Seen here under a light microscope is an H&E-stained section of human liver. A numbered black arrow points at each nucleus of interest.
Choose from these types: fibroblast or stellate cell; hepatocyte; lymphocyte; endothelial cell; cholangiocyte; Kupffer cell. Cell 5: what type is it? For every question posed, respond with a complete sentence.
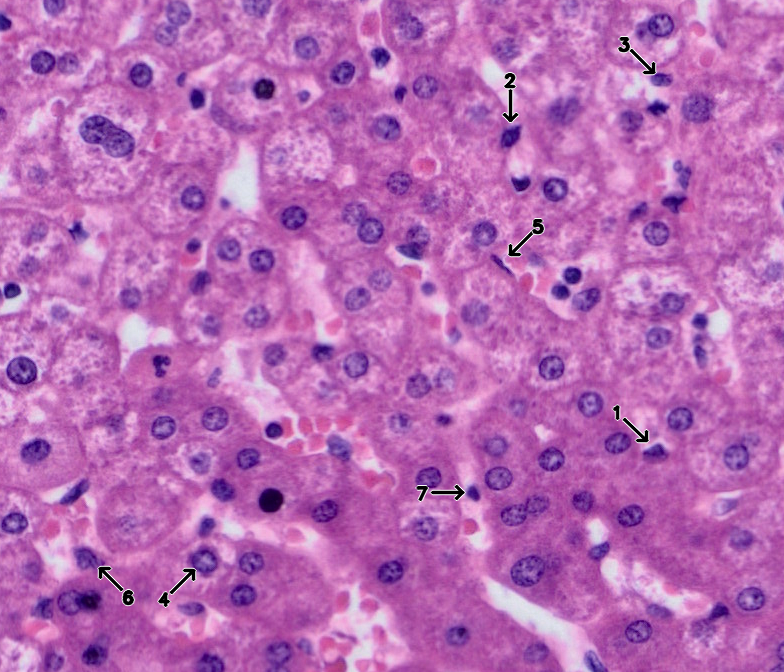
The marked nucleus 5 is that of an endothelial cell.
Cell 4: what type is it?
The numbered cell 4 is identified here as a hepatocyte.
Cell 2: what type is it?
The cell that bears the number 2 is a fibroblast or stellate cell.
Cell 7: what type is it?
Looking at the numbered marks, cell 7 is a lymphocyte.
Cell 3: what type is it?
The cell given label 3 is a lymphocyte.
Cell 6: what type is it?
The marked nucleus 6 is that of a Kupffer cell.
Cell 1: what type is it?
Number 1 is placed on an endothelial cell here.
